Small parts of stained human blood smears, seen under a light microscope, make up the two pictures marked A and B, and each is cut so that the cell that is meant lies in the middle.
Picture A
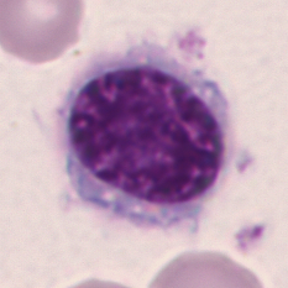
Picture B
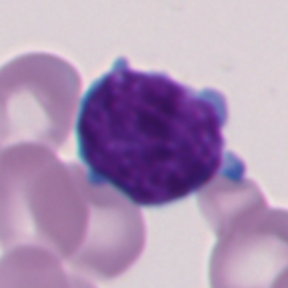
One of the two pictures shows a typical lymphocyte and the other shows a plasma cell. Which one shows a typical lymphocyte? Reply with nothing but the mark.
B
